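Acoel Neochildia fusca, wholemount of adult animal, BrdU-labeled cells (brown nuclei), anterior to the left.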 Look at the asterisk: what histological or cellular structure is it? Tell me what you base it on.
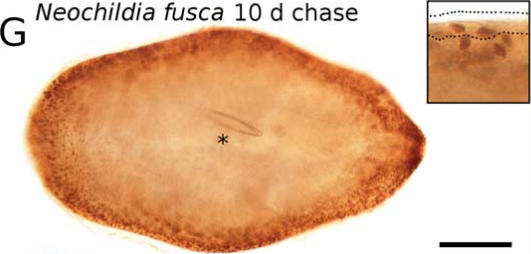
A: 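Diatom. An elongated, spindle-shaped outlined object lies in the middle of the body. It sits in the central region away from the densely brown-dotted margin.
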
